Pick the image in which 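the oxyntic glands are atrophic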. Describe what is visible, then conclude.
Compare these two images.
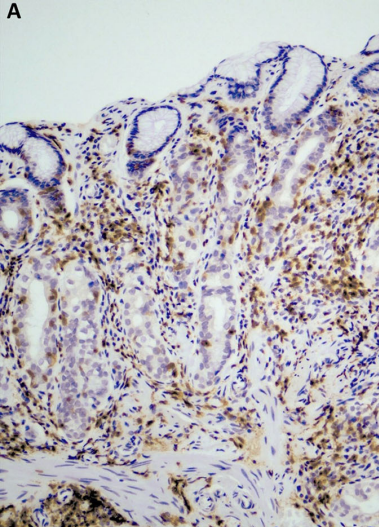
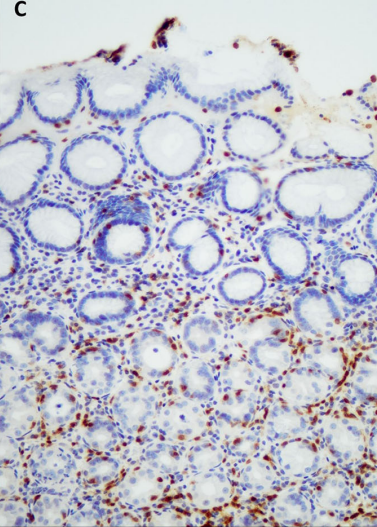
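Second image: the deep mucosa is packed with numerous round oxyntic glands. First image: only a few elongated glands remain in a dense, heavily infiltrated stroma. So: the first image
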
